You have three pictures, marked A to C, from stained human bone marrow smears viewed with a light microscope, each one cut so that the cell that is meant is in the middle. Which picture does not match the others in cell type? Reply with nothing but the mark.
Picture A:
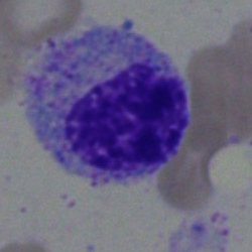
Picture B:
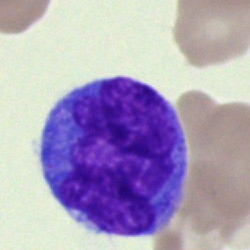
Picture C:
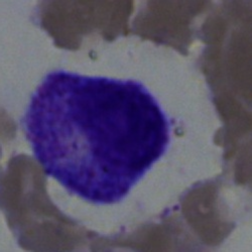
B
